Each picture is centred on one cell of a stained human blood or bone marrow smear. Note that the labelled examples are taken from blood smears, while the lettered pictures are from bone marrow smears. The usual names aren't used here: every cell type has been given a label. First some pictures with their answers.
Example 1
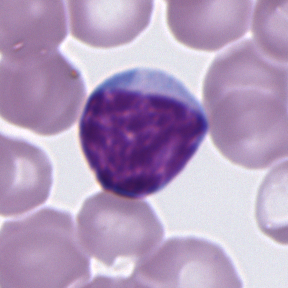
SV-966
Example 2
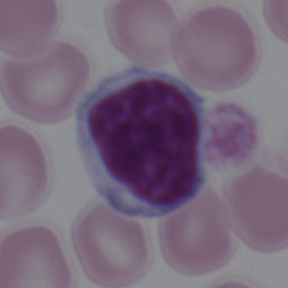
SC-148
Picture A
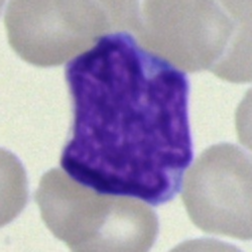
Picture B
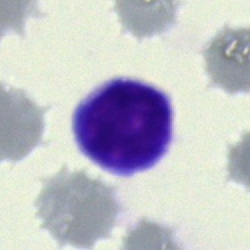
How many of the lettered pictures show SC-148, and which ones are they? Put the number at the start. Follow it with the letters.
1, namely B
